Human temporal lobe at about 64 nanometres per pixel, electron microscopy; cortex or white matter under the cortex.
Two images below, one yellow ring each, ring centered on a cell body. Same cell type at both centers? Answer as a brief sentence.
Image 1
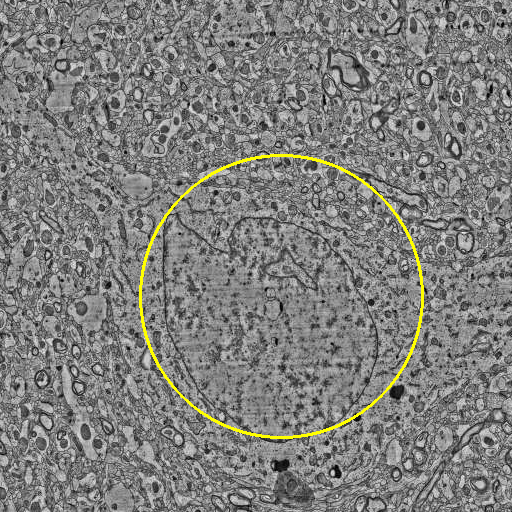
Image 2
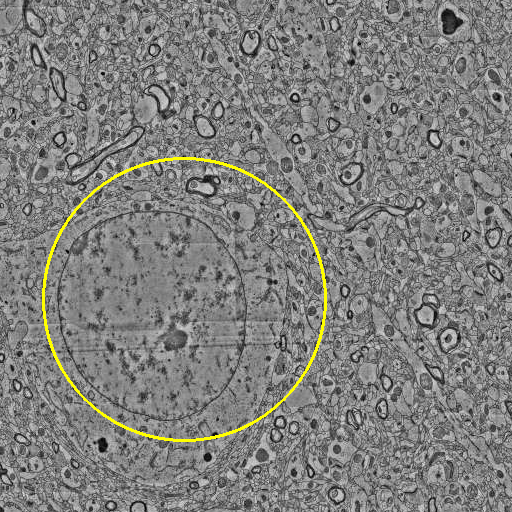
Yes, both cells are of the same type.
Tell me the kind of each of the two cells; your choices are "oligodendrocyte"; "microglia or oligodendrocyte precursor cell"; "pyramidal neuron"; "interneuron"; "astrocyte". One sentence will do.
In each of the two pictures, the ringed cell is a pyramidal neuron.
